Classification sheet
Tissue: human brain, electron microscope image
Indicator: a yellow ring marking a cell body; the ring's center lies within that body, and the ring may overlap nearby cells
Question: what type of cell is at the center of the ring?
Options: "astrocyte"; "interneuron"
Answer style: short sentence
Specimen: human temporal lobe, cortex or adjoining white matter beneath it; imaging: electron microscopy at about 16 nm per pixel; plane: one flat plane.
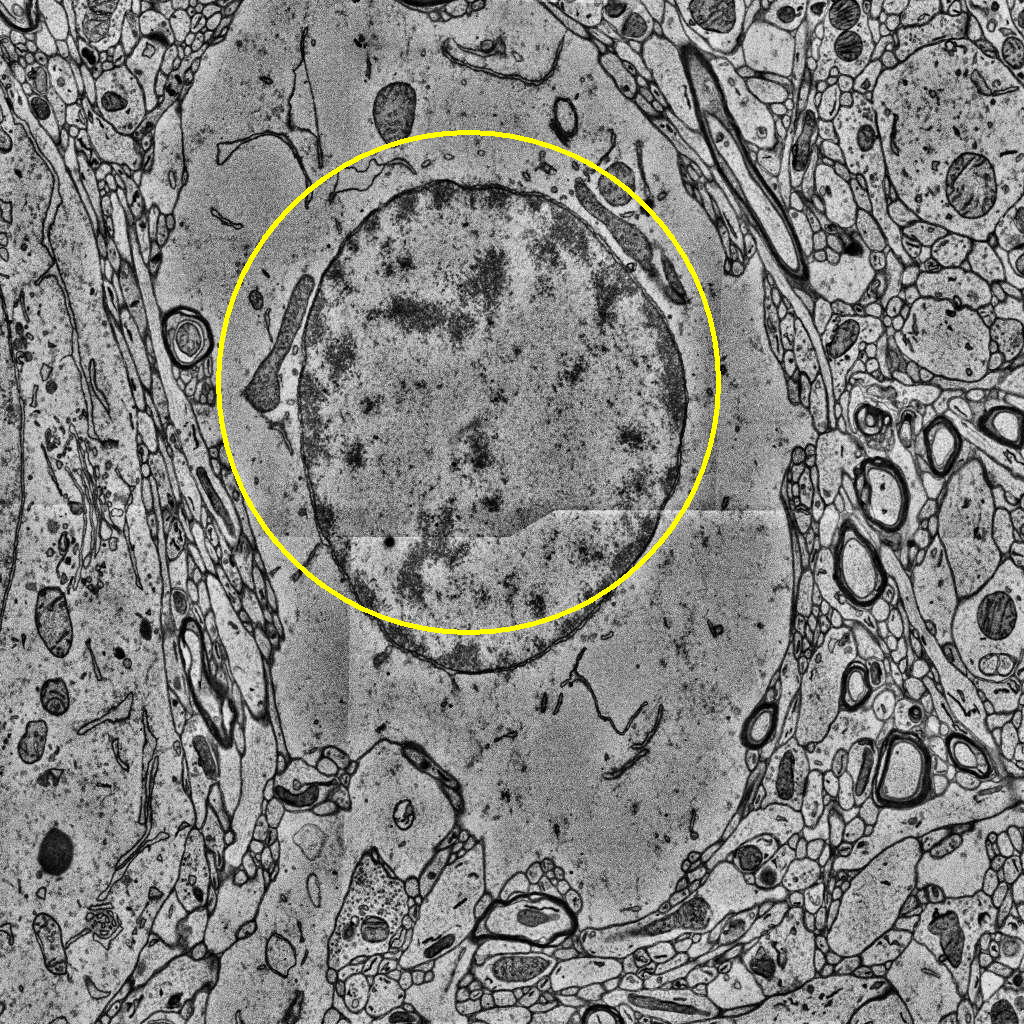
At the ring's center is an astrocyte.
